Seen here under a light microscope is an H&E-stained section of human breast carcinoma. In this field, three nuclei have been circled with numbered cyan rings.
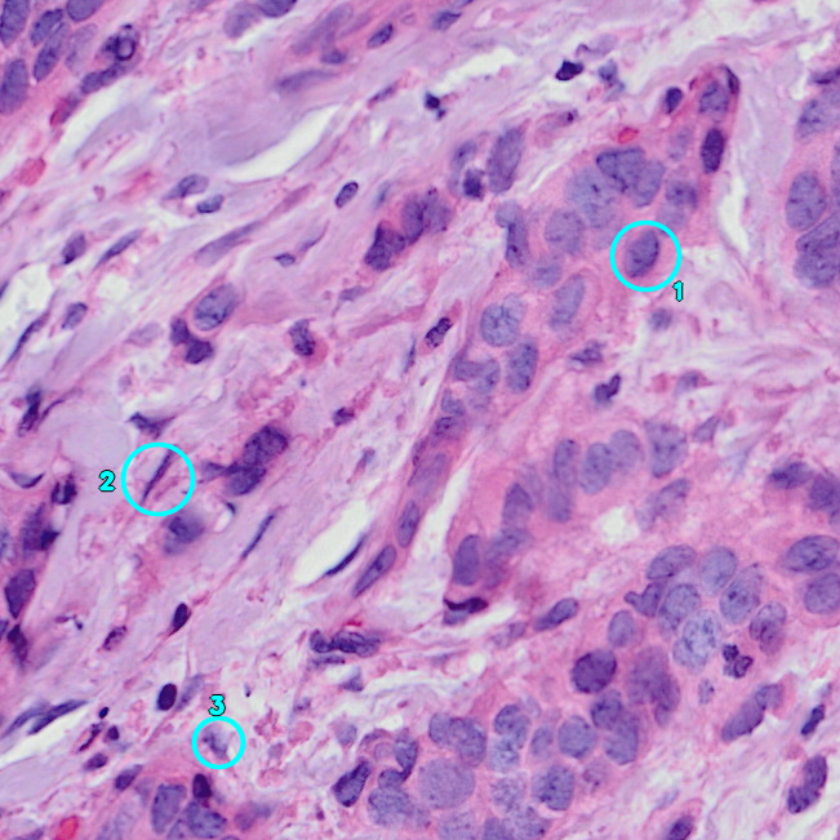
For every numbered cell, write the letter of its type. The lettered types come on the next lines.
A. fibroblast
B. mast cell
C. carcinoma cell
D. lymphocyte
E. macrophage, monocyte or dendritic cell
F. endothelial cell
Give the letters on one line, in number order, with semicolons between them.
C; A; A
